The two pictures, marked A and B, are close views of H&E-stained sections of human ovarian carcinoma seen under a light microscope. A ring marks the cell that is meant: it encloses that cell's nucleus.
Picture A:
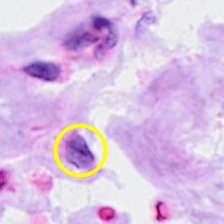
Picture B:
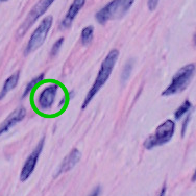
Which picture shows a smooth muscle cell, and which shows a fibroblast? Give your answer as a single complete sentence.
Picture A shows a fibroblast and picture B shows a smooth muscle cell.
